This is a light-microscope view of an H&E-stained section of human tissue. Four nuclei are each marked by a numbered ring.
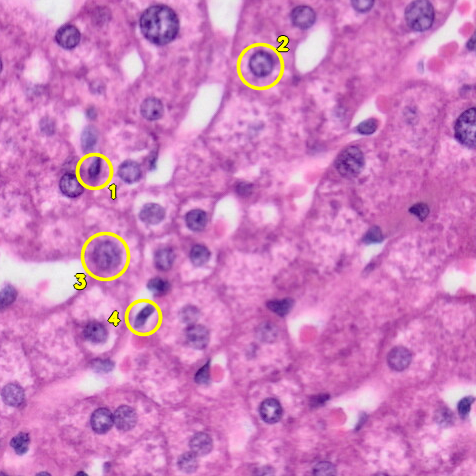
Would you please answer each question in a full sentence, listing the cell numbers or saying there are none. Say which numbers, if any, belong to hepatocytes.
The cells labelled 2 and 3 in this section are hepatocytes.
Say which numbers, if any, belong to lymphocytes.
Response: cell 4 is a lymphocyte, and no other numbered cell is.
